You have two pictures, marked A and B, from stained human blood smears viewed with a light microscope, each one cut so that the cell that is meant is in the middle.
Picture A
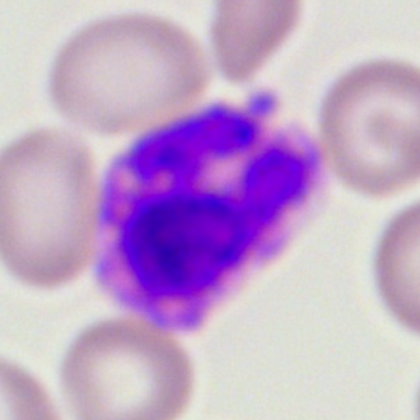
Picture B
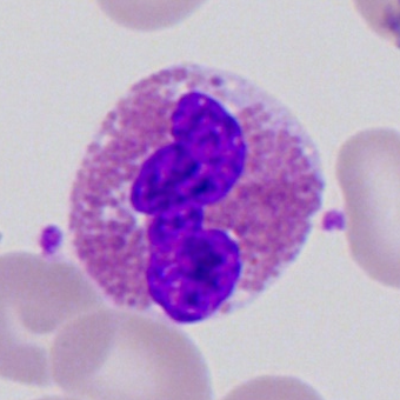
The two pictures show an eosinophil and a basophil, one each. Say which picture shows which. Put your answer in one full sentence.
In picture A the cell is a basophil; in picture B, an eosinophil.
